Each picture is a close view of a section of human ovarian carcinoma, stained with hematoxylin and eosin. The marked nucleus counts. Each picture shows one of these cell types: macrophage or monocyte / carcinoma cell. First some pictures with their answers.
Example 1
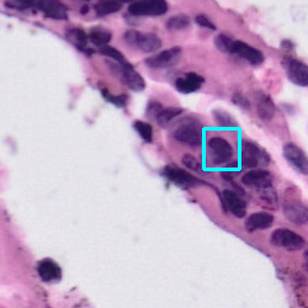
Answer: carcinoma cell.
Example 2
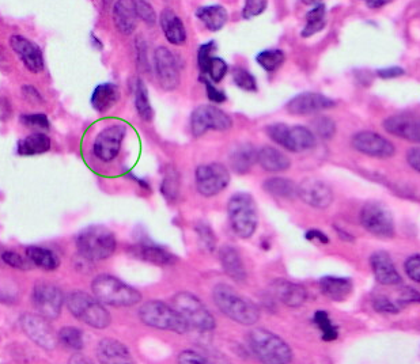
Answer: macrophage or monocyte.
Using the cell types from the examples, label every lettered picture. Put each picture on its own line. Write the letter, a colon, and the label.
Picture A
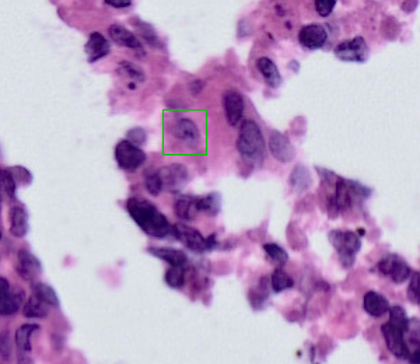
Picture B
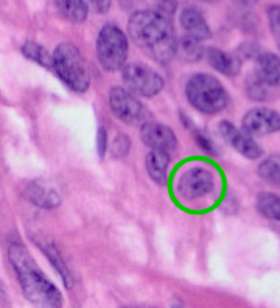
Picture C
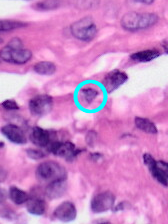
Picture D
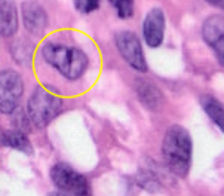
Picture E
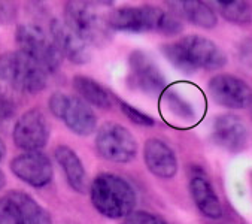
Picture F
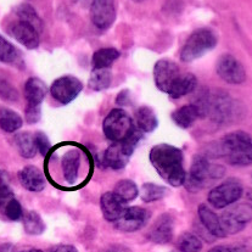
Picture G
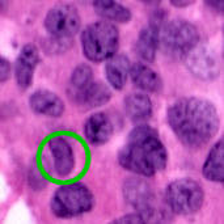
A: macrophage or monocyte.
B: macrophage or monocyte.
C: macrophage or monocyte.
D: macrophage or monocyte.
E: carcinoma cell.
F: macrophage or monocyte.
G: carcinoma cell.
